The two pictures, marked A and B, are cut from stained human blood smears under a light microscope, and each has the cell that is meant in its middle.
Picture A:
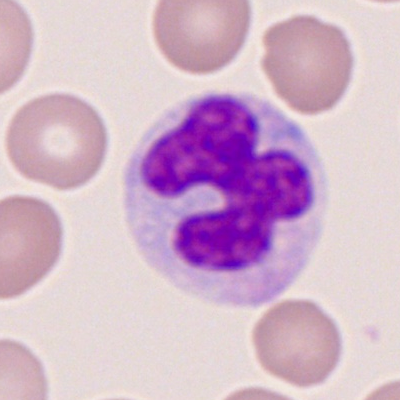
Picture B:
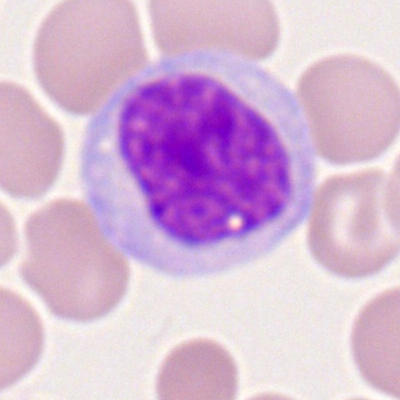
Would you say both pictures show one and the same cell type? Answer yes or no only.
yes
